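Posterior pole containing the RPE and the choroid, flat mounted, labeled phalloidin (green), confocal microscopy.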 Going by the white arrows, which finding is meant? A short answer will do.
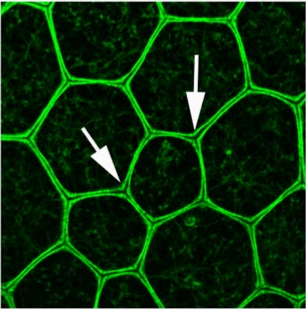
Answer: Interruptions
